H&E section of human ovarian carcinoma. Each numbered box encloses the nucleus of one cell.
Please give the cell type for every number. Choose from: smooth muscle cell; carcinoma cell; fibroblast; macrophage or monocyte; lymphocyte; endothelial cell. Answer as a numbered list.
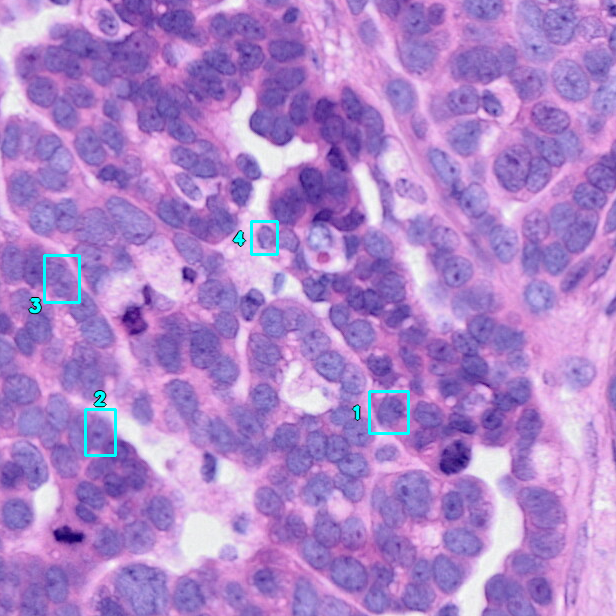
1. carcinoma cell
2. carcinoma cell
3. carcinoma cell
4. macrophage or monocyte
